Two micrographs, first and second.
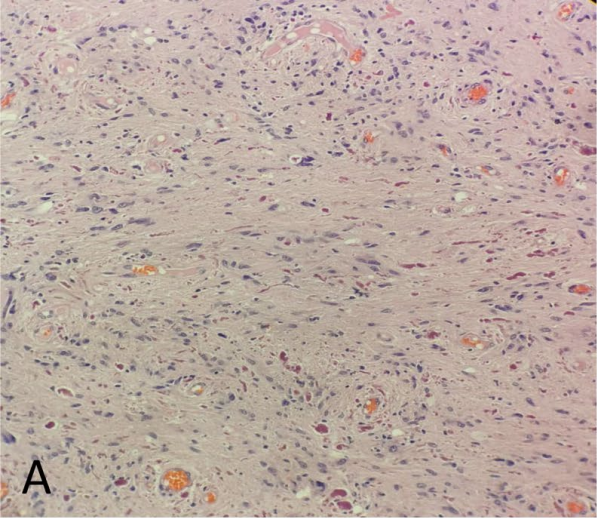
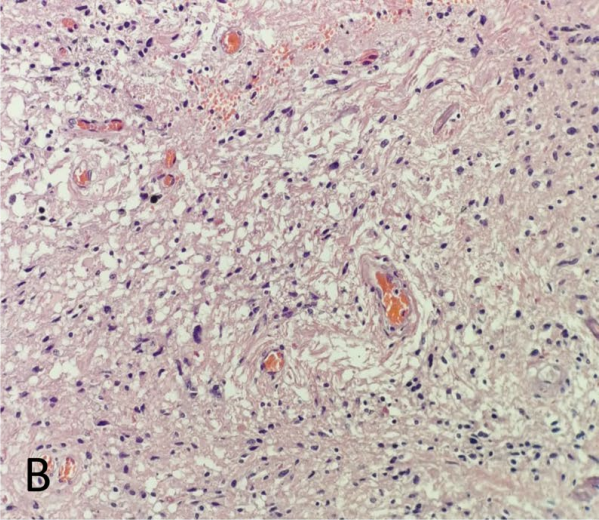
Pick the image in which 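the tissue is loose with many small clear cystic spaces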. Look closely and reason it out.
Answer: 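First image: cells and pink fibres are tightly packed with few clear spaces. Second image: numerous small clear round spaces separate loosely arranged cells. That points to this answer: the second image.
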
